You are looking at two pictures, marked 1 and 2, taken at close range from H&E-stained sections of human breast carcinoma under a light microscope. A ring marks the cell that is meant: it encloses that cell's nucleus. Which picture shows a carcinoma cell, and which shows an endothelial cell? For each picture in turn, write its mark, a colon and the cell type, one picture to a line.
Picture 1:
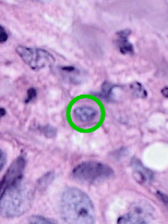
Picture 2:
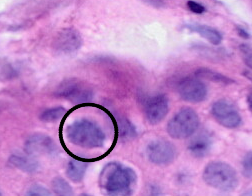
1: endothelial cell
2: carcinoma cell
